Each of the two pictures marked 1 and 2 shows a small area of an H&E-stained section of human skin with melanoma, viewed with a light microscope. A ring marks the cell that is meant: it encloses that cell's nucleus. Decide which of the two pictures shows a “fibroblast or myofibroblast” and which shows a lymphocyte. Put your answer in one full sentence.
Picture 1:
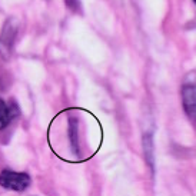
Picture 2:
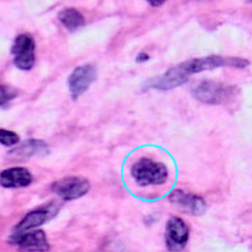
The cell in picture 1 is a “fibroblast or myofibroblast”, and the one in picture 2 is a lymphocyte.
